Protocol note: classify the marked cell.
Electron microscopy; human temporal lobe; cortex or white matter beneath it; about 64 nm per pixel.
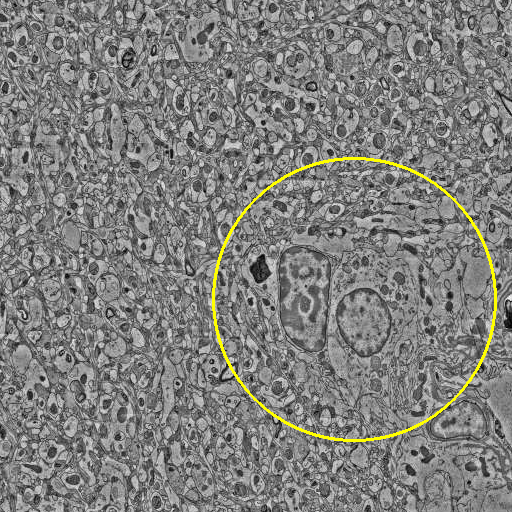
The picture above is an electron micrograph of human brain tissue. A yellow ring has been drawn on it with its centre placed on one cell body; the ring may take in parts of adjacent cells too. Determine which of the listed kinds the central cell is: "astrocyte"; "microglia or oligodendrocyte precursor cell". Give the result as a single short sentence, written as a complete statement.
The central cell is a microglial cell or oligodendrocyte precursor cell.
